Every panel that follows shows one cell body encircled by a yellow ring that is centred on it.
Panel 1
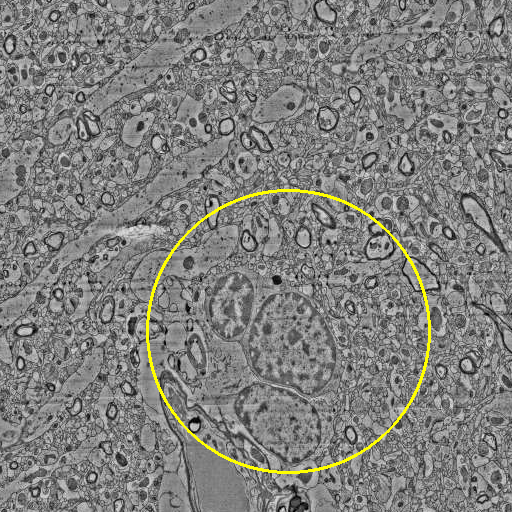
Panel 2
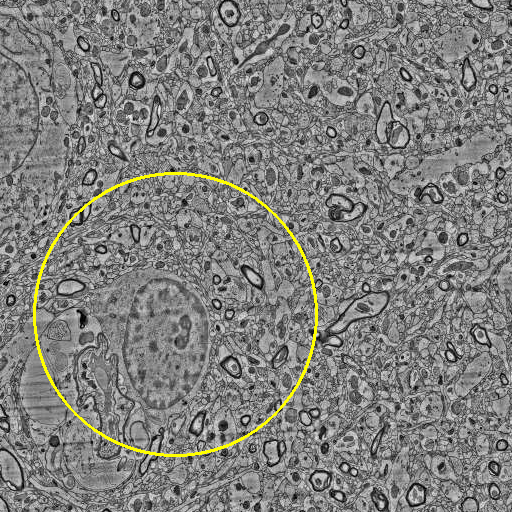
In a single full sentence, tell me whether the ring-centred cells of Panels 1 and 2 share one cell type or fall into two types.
In Panel 1 and Panel 2, the cells at the ring centres share one cell type.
